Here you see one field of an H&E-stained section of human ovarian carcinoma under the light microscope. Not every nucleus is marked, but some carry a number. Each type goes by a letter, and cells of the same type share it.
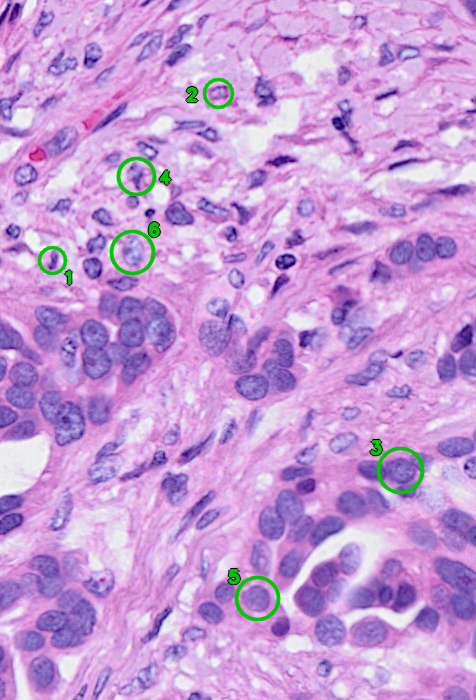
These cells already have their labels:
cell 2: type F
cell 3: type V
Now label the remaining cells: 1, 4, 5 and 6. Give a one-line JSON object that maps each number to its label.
{"1": "type F", "4": "type F", "5": "type V", "6": "type F"}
